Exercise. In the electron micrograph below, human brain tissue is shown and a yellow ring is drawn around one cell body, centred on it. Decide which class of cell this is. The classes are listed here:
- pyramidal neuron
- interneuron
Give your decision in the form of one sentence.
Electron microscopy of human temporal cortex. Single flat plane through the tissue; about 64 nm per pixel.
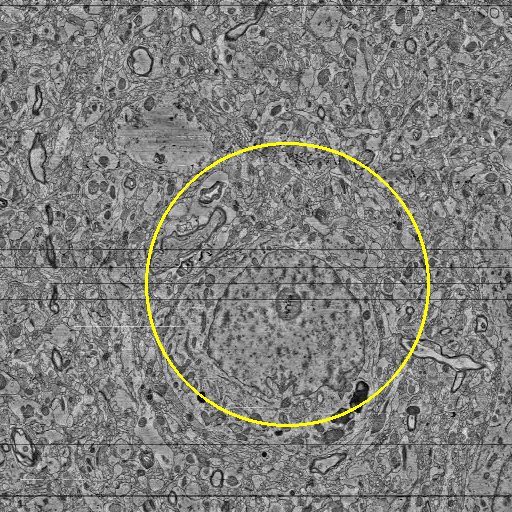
The cell body marked by the ring belongs to an interneuron.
